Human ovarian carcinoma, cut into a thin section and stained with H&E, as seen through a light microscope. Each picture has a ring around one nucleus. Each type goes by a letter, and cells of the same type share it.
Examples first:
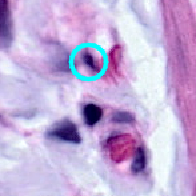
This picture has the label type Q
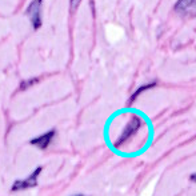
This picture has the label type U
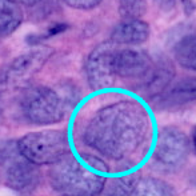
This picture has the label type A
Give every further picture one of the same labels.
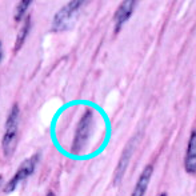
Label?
type U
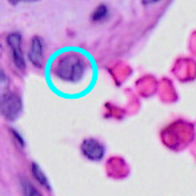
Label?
type Q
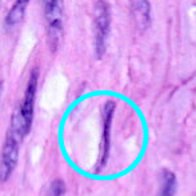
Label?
type U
